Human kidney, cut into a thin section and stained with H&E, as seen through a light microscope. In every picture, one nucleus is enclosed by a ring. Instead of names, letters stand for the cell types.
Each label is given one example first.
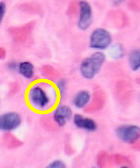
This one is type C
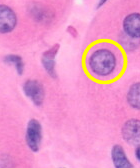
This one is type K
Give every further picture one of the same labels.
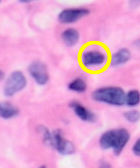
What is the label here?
type C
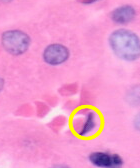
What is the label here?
type C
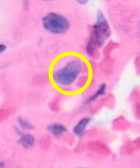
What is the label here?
type C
